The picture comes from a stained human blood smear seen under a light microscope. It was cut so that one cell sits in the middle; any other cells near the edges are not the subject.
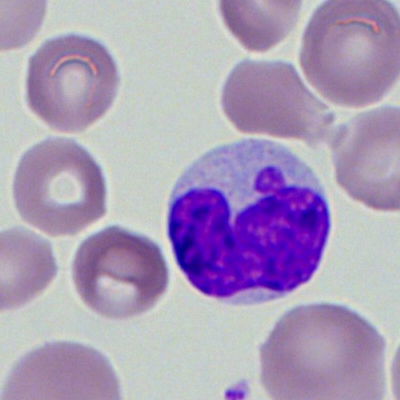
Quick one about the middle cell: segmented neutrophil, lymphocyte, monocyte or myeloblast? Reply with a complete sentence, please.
In this crop, the cell at the very middle is a monocyte.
